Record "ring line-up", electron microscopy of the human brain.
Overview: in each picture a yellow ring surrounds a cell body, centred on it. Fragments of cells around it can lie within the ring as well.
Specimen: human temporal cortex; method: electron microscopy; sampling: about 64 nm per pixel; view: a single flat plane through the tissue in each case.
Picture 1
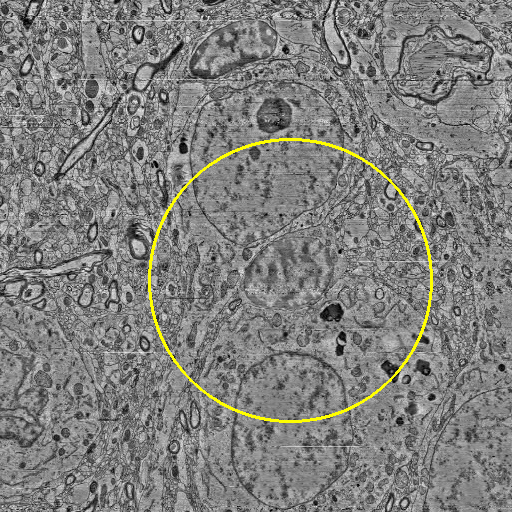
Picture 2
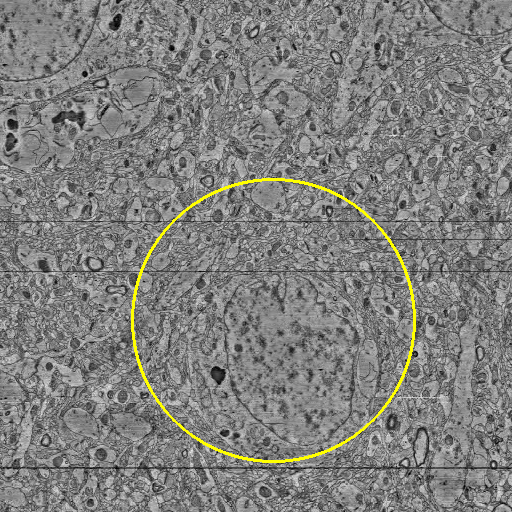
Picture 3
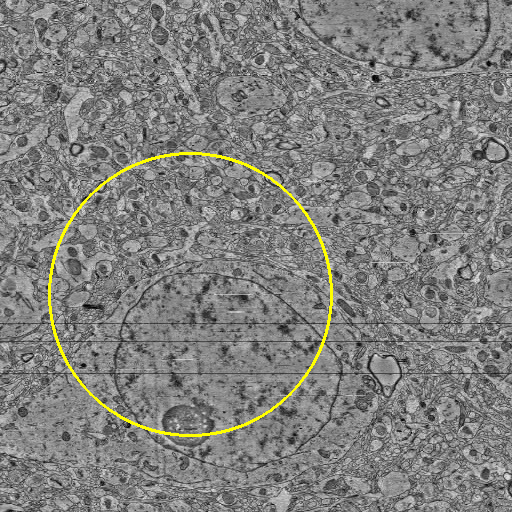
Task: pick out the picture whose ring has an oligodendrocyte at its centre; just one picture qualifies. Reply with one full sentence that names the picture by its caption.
Going by the cell at the ring's centre, the right choice is Picture 1.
